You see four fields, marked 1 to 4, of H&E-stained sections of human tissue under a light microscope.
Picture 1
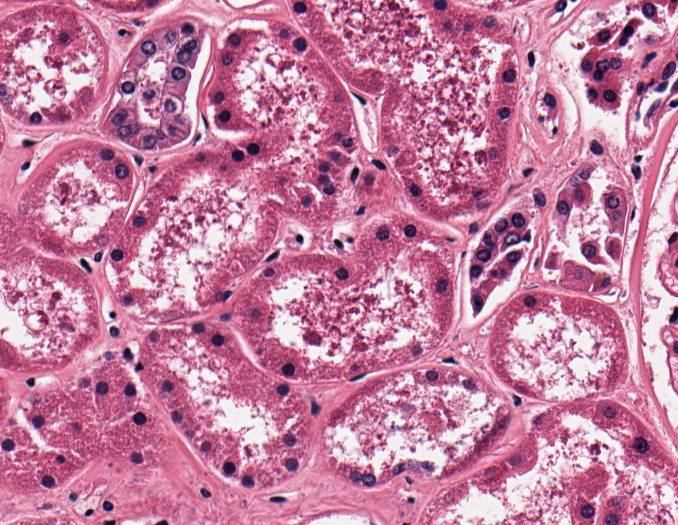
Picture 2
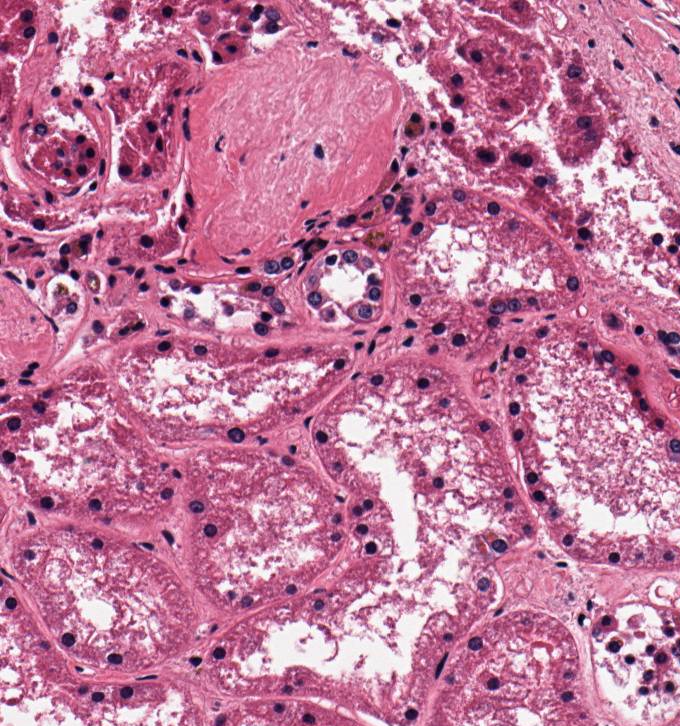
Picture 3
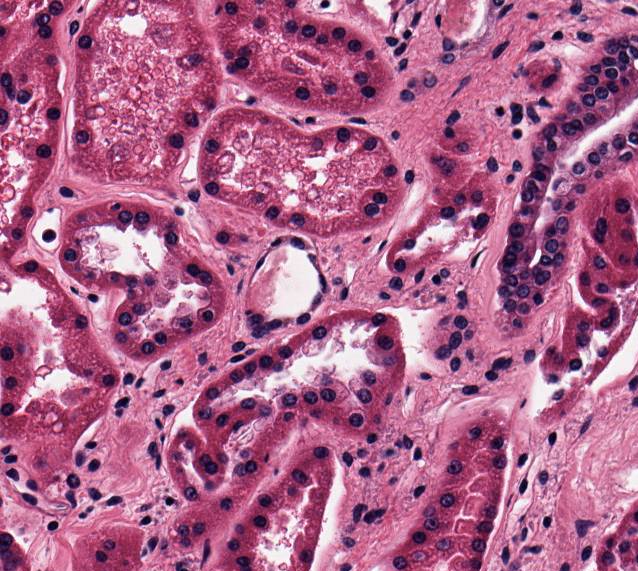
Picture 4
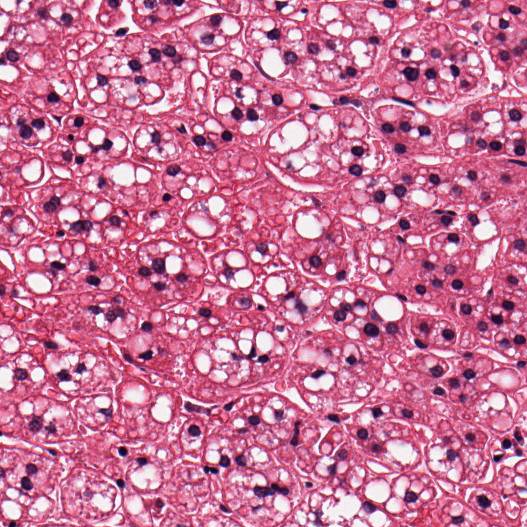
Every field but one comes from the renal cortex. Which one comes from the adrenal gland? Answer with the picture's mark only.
4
